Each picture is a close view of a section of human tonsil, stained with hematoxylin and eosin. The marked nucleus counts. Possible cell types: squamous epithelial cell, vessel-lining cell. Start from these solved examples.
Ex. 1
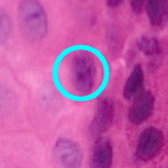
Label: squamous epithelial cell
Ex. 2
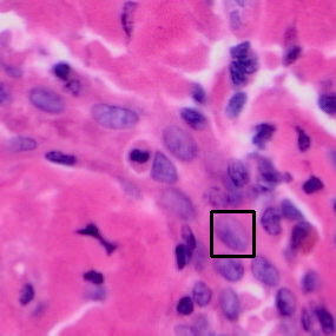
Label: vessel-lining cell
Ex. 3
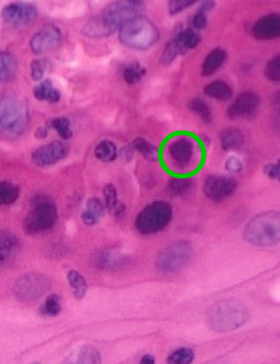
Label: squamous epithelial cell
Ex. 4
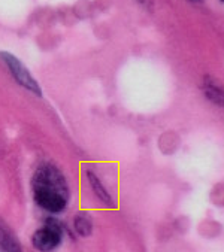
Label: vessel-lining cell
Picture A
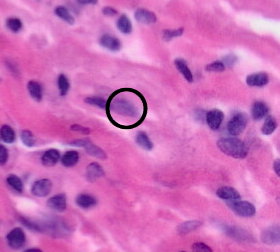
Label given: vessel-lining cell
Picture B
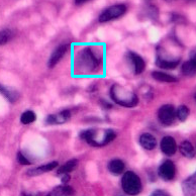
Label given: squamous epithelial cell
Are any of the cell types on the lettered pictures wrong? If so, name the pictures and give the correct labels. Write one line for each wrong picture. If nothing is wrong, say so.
Every label is right.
